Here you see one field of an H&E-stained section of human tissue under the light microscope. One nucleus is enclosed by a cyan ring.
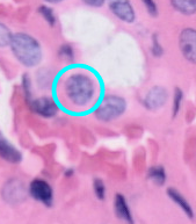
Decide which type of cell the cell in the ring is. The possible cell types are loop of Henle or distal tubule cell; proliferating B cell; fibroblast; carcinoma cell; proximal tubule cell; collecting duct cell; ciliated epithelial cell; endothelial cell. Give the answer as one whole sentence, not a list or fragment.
Cytologically, the cell in the ring is to be regarded as a collecting duct cell.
